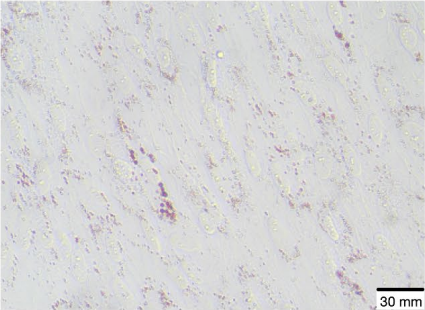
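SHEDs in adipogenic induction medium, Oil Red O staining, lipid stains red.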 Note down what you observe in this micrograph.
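The cells are densely packed and mostly elongated, lying roughly in parallel across the field. Many pale oval cell bodies are visible in outline against a light grey background. Small red-purple droplets are scattered widely, gathered in small clusters within the cytoplasm of many cells. The droplets are small and numerous rather than merged into single large vacuoles.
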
